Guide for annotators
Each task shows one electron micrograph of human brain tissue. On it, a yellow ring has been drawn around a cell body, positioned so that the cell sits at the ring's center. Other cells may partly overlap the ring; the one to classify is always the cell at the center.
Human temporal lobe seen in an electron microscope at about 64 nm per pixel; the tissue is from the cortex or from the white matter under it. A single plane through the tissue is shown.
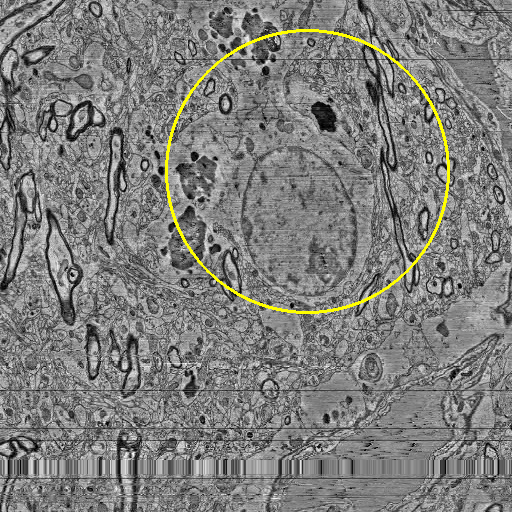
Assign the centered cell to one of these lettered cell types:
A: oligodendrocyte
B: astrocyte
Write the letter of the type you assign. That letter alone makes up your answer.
B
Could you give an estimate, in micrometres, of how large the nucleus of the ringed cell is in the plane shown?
Roughly 10 by 7 micrometres is the size of the nucleus in this plane.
